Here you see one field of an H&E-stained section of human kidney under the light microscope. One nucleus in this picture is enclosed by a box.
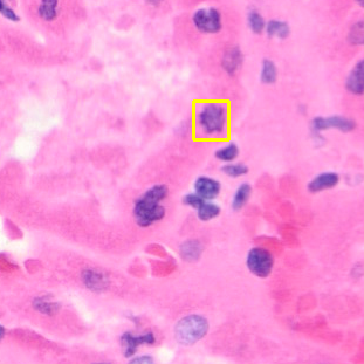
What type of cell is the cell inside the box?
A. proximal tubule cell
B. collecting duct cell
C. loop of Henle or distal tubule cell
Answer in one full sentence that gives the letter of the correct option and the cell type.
Under option A, the cell inside the box is a proximal tubule cell, which is the correct identification.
